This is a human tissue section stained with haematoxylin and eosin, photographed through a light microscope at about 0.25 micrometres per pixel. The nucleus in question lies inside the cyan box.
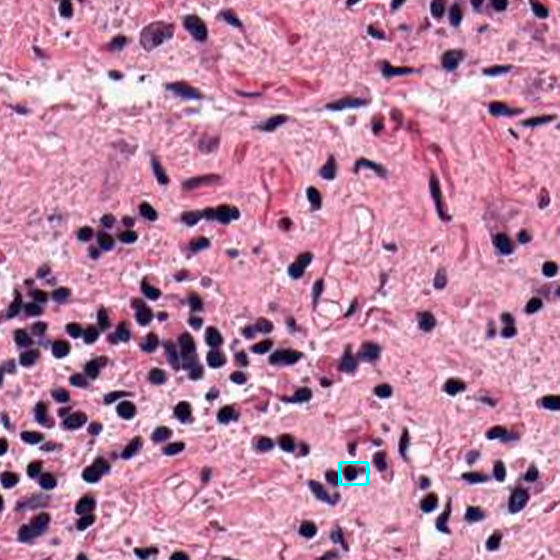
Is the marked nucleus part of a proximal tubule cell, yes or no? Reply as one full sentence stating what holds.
No, for the marked nucleus, the owning cell is a supporting cell, not a proximal tubule cell.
